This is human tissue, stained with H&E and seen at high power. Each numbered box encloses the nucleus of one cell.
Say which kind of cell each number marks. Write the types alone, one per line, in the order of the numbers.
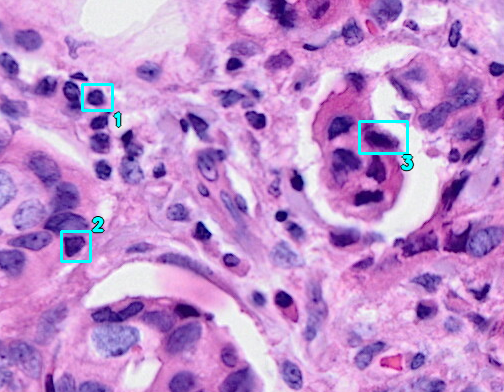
lymphocyte
carcinoma cell
carcinoma cell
